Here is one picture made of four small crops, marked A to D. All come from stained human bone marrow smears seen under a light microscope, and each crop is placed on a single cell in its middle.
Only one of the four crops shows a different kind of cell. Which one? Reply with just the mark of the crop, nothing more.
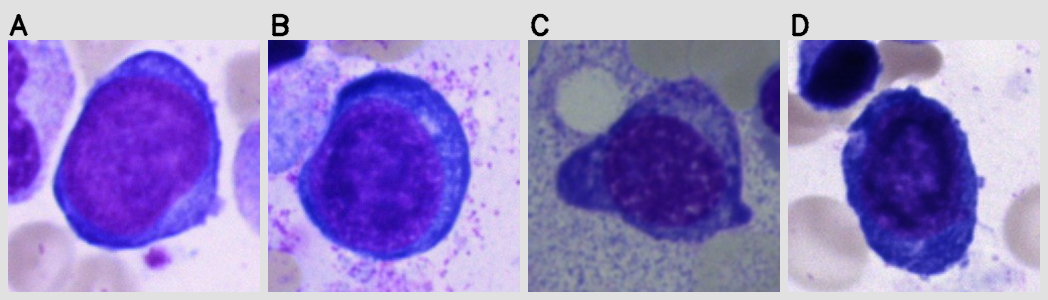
C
